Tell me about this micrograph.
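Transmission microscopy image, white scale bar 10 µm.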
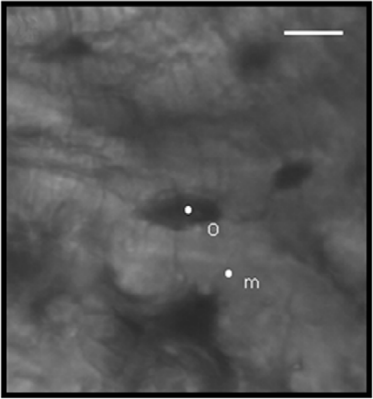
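A grayscale transmitted-light image shows osteocytes lying within the surrounding bone matrix. The osteocytes appear as dark, elongated, spindle-shaped bodies, several micrometres long, spaced apart from one another across the field. The matrix between them is a paler, mottled grey with fine, roughly parallel streaks and shading that give it a layered texture.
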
